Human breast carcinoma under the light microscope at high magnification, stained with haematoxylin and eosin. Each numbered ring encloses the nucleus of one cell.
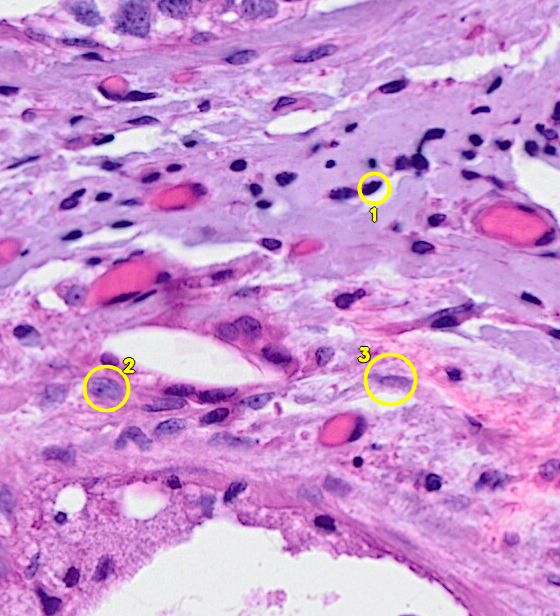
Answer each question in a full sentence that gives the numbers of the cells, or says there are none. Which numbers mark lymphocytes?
It is cell 1, and no other numbered cell, that is a lymphocyte.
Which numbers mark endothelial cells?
Cell 2 is the one numbered cell that is an endothelial cell.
